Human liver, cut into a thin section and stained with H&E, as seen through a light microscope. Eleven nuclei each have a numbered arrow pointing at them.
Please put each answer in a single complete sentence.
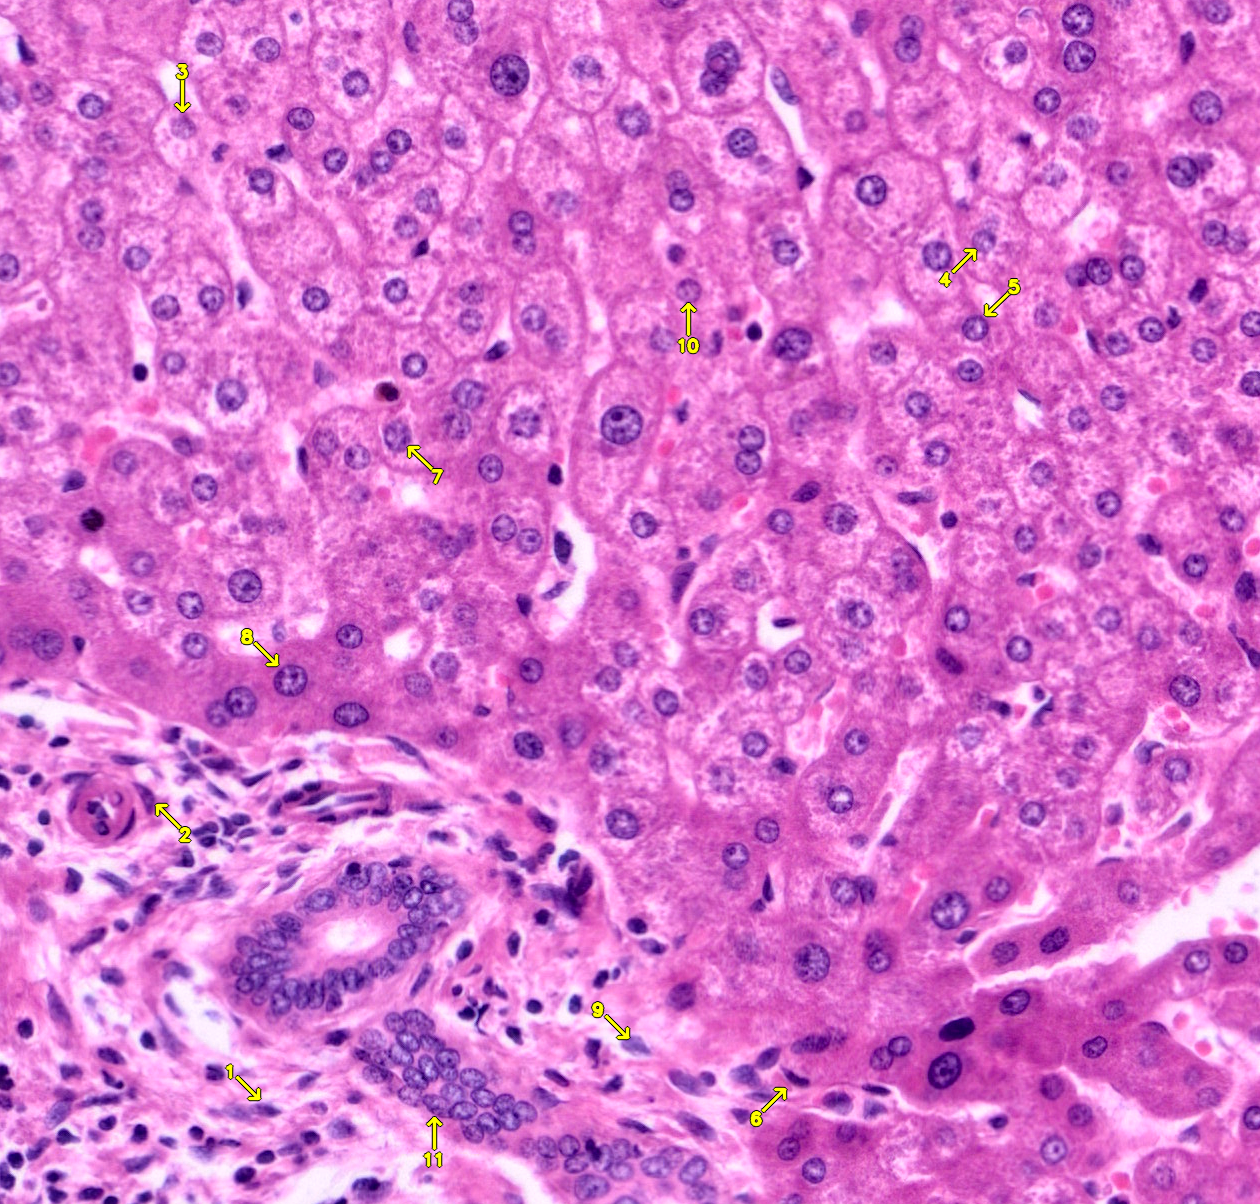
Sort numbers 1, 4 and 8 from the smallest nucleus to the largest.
By area, going up from the smallest, they rank 1, 4, 8.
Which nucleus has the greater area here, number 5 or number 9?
Of the two, number 5 is bigger and takes up about 1.5 times the area of number 9.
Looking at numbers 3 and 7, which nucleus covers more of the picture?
Nucleus 7 is the larger one, covering about 1.5 times the area of nucleus 3.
